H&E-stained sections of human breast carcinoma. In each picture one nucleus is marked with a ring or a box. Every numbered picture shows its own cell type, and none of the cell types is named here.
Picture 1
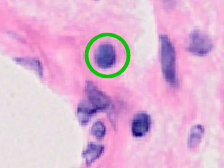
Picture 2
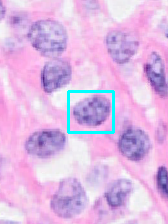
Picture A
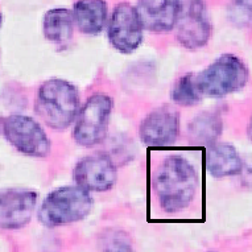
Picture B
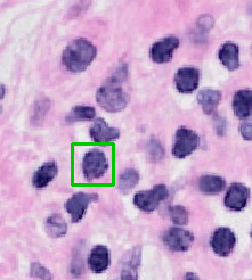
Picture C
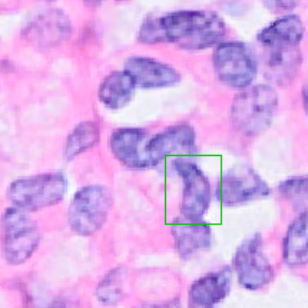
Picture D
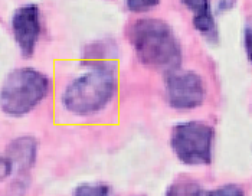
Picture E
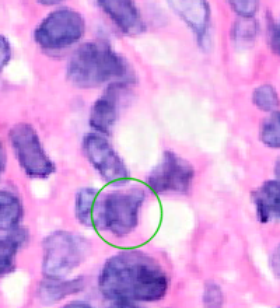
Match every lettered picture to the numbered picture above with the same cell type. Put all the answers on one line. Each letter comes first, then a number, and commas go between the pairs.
A 2, B 1, C 2, D 2, E 2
